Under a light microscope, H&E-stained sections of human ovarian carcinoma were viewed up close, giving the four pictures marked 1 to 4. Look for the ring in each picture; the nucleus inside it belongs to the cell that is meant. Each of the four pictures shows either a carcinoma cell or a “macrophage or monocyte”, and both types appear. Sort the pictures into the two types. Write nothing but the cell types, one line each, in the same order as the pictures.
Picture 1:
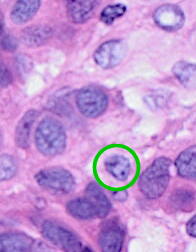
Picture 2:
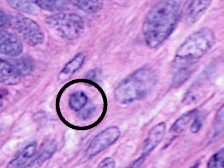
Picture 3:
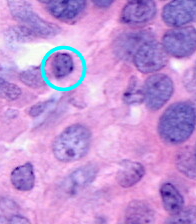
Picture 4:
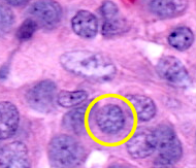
macrophage or monocyte
macrophage or monocyte
macrophage or monocyte
carcinoma cell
